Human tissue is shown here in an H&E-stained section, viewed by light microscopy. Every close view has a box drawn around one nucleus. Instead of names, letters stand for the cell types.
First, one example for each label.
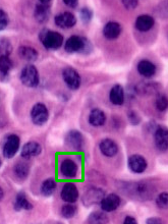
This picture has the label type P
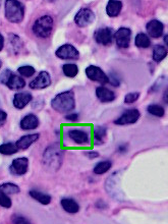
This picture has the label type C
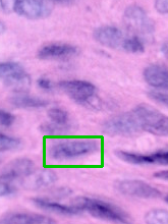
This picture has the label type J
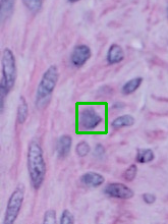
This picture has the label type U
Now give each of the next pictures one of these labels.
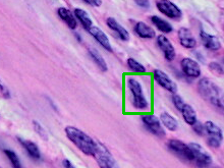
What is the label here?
type C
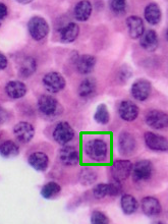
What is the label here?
type P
